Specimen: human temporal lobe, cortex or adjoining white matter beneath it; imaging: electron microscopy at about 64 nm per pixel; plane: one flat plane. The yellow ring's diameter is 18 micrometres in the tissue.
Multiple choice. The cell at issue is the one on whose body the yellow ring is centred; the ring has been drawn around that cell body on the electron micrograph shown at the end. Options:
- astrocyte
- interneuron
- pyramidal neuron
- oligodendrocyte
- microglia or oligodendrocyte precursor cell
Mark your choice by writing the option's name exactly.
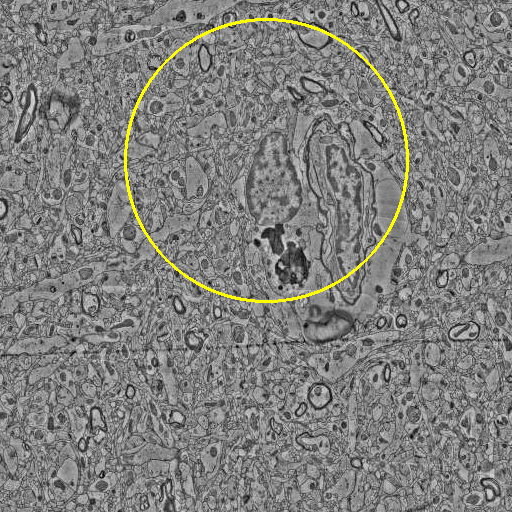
oligodendrocyte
